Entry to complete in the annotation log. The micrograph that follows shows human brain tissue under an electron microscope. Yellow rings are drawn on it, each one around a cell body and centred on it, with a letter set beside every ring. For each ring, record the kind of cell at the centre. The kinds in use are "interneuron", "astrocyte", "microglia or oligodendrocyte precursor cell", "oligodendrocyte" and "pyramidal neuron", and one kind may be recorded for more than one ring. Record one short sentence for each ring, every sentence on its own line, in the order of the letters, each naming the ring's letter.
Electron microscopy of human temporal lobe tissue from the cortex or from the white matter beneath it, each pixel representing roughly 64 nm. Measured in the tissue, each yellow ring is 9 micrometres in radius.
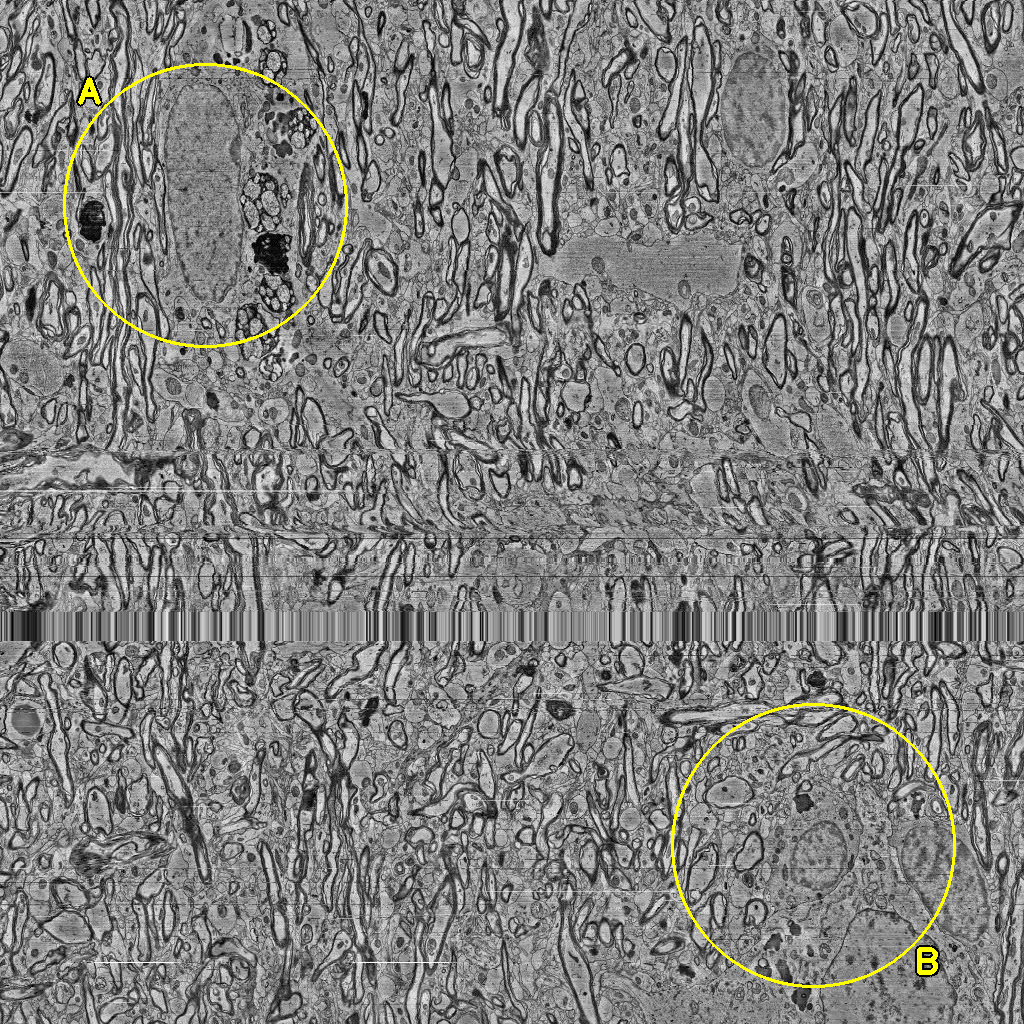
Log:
Ring A is placed around an astrocyte.
Ring B is placed around an oligodendrocyte.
